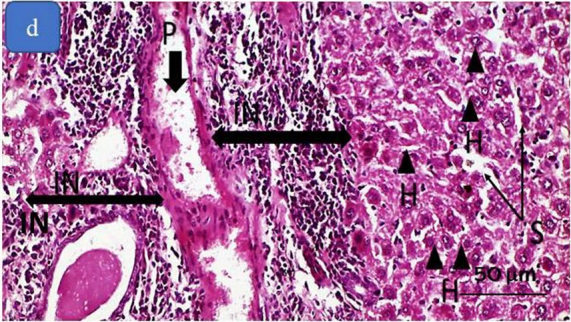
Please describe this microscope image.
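This is liver with a portal area running down the left half, around which there is a dense crowd of small dark-nucleated inflammatory cells. To the right the hepatocyte plates are disorganised, and many hepatocytes look pale and vacuolated while others appear shrunken with dense pink cytoplasm. The sinusoids between the plates are widened into irregular clear spaces.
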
